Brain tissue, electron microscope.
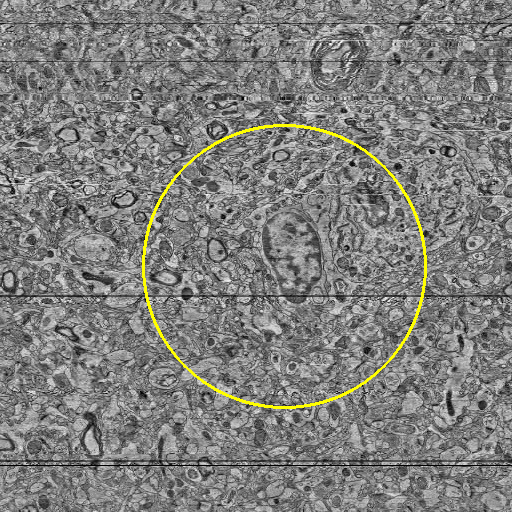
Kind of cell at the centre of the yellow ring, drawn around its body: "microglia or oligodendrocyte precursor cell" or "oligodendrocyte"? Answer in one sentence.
The ring's centre falls on a microglial cell or oligodendrocyte precursor cell.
